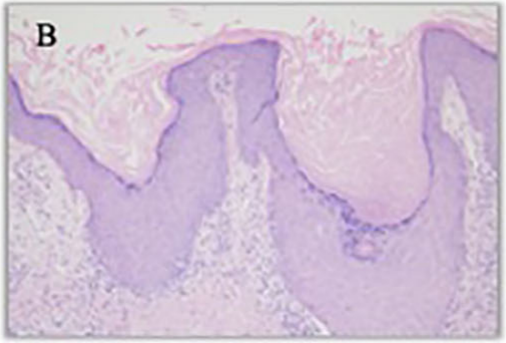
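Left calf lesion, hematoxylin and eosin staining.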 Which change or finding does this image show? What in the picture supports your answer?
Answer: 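Epidermal hyperkeratosis. A thick layer of pale pink, laminated keratin lies on the epidermal surface. The keratin fills the clefts between downward-projecting epidermal folds.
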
